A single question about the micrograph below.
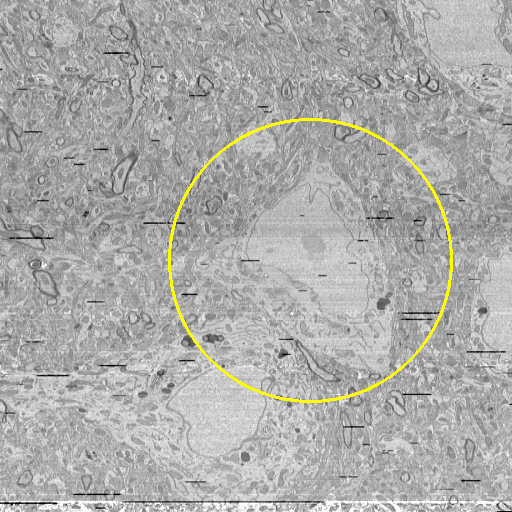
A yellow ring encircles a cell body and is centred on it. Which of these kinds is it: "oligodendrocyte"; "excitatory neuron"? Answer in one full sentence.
The cell body at the centre of the yellow ring belongs to an excitatory neuron.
